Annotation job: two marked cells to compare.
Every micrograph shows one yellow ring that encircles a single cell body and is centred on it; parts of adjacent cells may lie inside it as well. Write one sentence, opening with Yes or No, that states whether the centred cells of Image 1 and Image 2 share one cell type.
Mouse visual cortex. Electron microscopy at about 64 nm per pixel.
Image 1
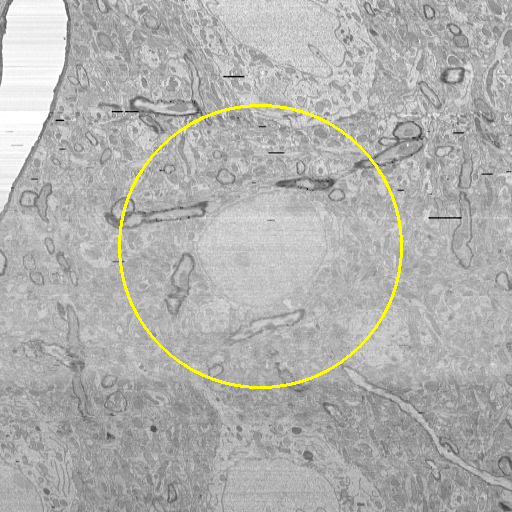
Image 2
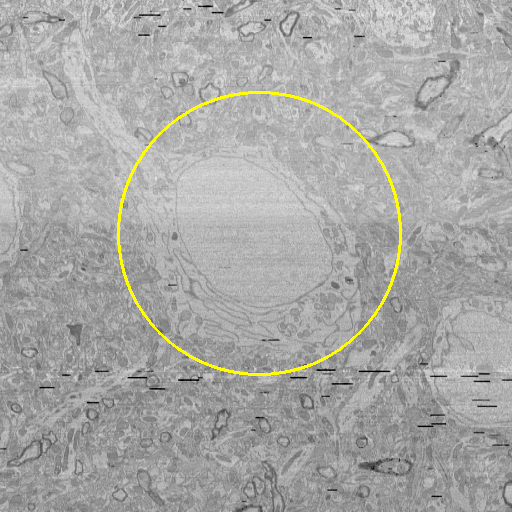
No, the cell centred in Image 1 and the cell centred in Image 2 are of two types.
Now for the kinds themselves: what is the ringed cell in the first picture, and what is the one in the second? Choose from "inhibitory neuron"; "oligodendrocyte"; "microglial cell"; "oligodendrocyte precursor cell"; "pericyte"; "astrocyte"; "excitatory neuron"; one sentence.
Here the first cell is an astrocyte and the second cell is an excitatory neuron.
